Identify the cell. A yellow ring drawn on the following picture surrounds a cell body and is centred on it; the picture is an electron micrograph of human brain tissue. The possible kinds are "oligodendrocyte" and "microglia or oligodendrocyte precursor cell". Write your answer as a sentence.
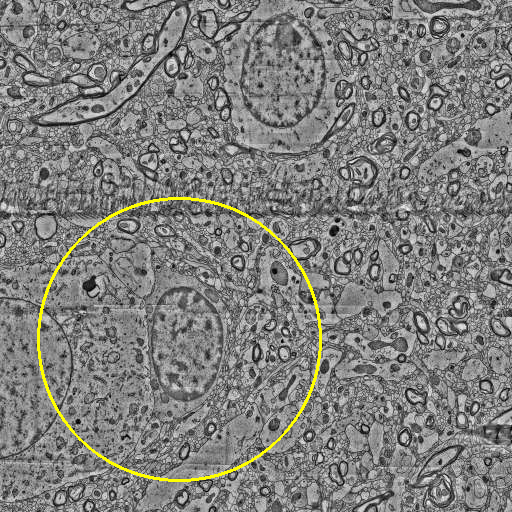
The cell identified by the ring is an oligodendrocyte.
